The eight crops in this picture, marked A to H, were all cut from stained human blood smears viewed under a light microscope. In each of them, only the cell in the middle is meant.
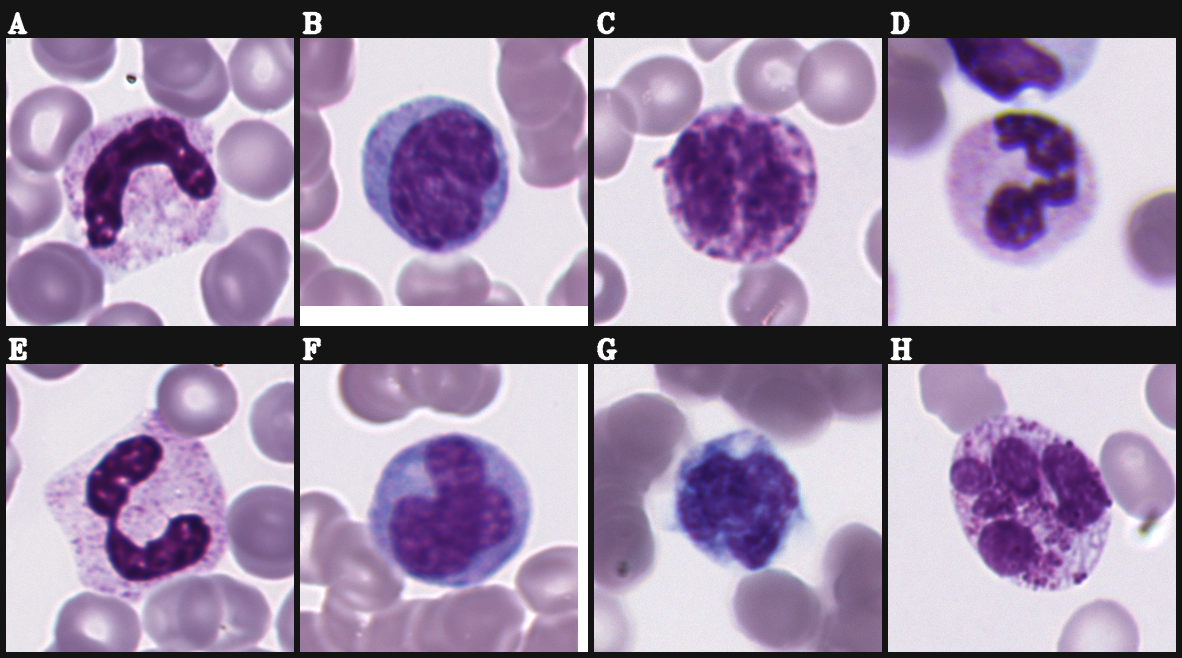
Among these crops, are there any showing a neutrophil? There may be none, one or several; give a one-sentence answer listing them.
Crops A, D and E have neutrophils as the central cells.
